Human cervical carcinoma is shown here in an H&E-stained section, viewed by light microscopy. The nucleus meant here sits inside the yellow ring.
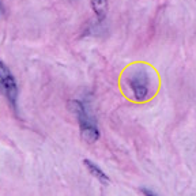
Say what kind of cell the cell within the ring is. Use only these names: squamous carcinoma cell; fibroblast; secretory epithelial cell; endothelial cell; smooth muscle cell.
smooth muscle cell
